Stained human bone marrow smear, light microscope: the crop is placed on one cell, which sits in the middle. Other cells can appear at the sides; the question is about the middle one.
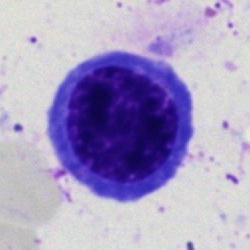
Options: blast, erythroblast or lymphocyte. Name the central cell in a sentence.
The cell centred in this crop is categorized as an erythroblast.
